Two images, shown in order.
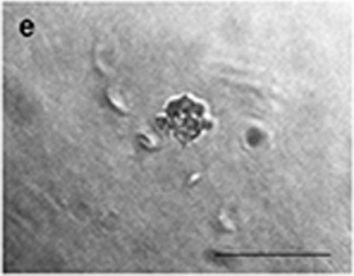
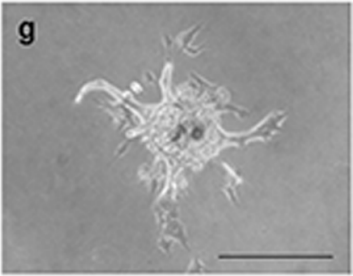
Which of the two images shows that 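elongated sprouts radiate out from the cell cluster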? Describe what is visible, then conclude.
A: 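The second image. Second image: a central cluster with many long processes extending outward. First image: a small rounded compact cluster with no processes extending from it.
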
